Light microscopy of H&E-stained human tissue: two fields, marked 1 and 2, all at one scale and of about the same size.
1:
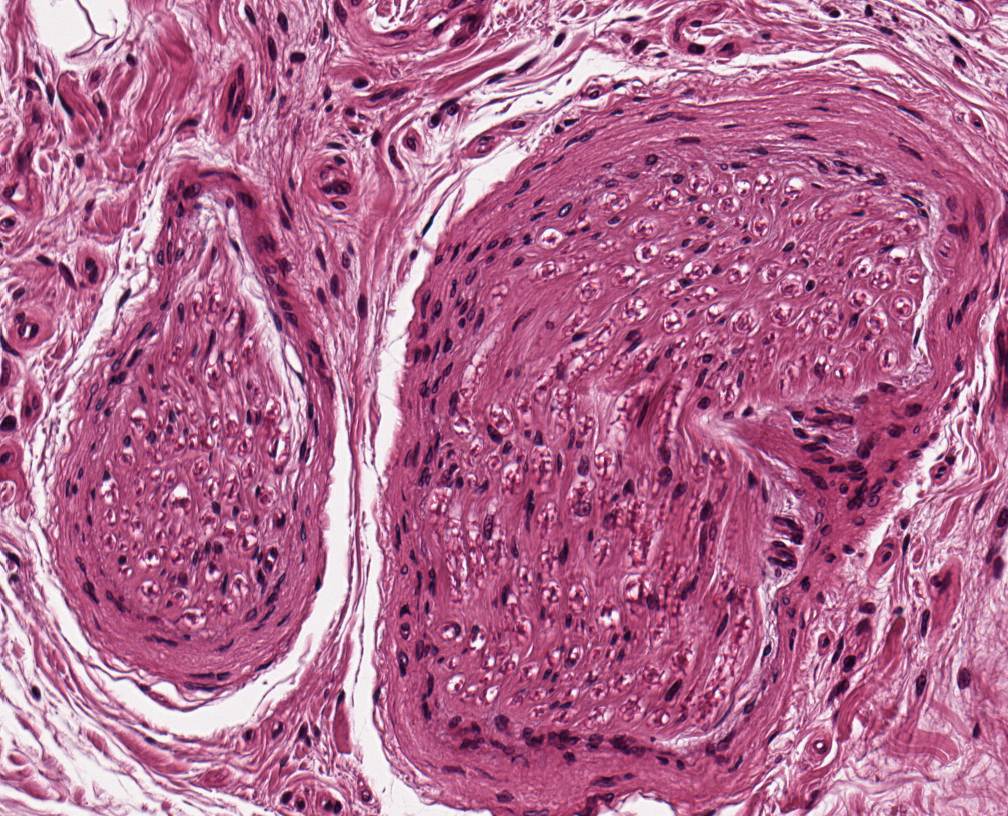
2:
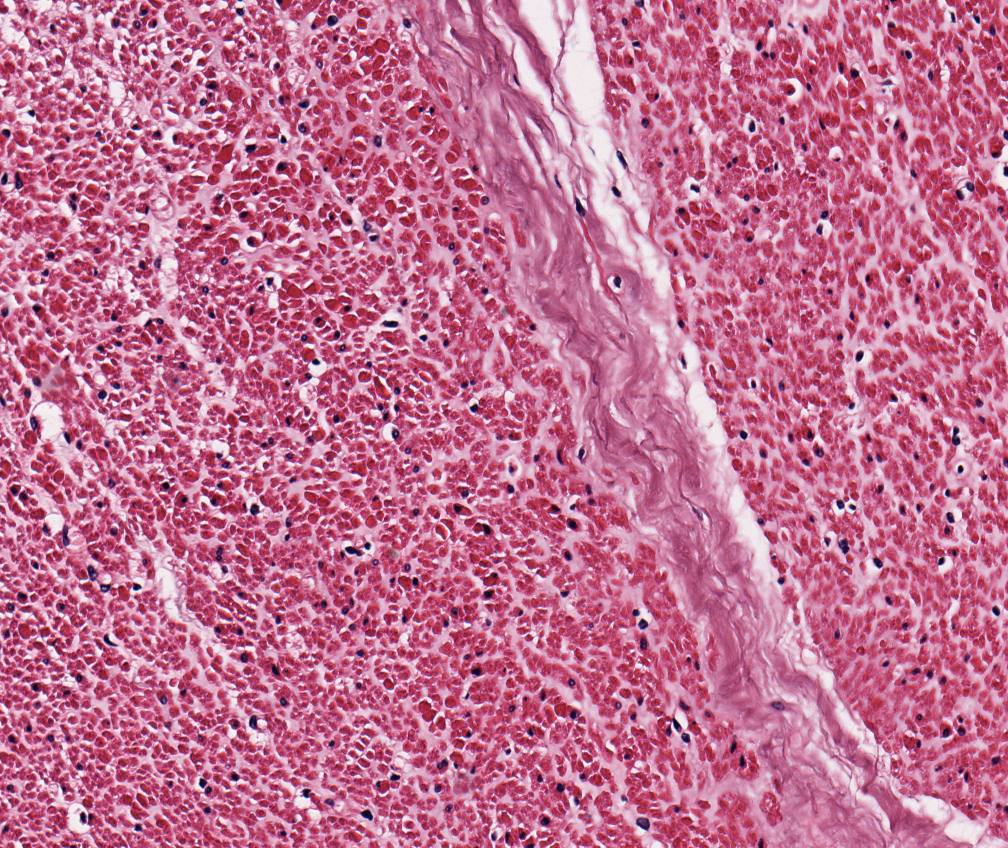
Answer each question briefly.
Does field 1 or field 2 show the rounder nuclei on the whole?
2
